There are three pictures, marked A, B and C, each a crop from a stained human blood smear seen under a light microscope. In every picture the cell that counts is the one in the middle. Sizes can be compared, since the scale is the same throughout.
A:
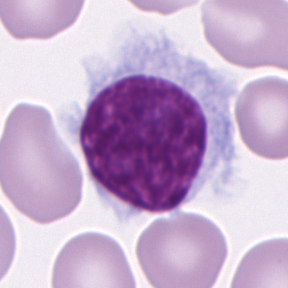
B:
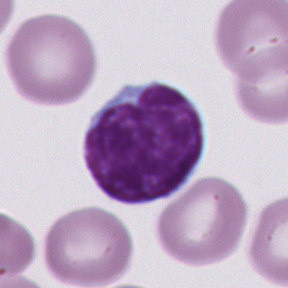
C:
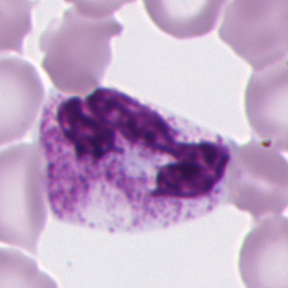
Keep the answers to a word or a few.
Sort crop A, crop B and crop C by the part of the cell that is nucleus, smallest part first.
C, A, B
